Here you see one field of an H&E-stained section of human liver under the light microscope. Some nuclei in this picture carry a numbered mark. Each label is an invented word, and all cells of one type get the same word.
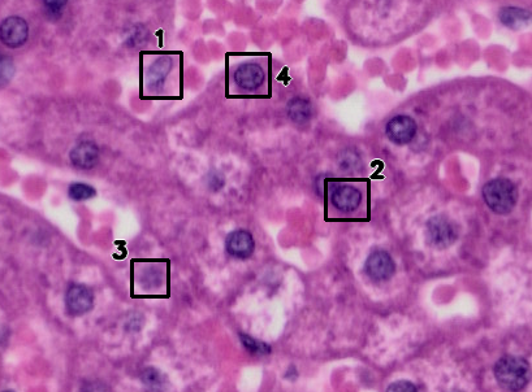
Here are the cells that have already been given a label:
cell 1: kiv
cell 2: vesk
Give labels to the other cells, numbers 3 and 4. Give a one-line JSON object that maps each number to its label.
{"3": "vesk", "4": "vesk"}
